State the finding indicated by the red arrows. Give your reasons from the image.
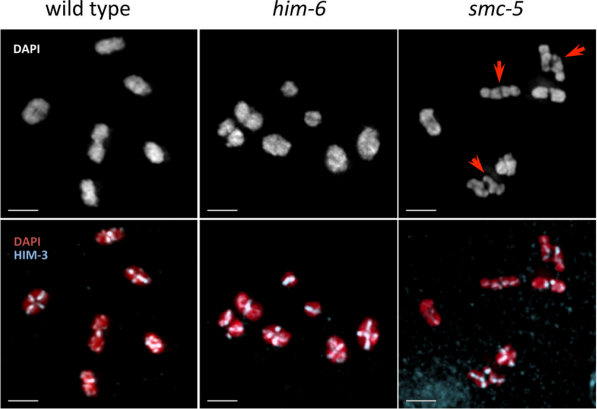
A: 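The arrowed chromosome bodies look elongated and loose rather than compact. Other nuclei in the row show small, compact, rounded chromosome bodies.
Answer: not well-compacted bivalents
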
